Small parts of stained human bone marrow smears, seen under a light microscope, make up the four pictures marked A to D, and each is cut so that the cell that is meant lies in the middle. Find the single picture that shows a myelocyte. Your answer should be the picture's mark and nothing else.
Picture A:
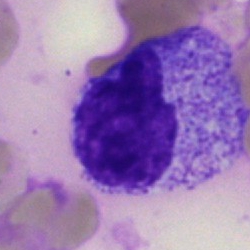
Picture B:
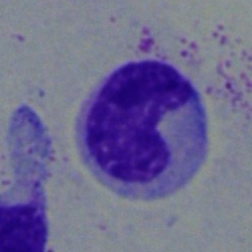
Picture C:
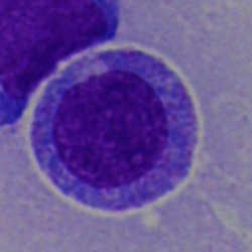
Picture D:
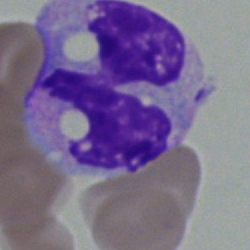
C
